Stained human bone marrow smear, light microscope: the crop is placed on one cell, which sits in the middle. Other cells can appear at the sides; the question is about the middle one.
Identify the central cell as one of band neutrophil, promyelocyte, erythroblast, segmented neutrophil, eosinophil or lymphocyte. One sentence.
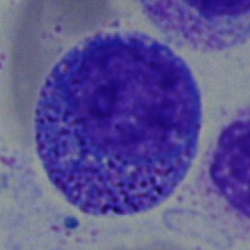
Among the cells in view, the one in the middle is a promyelocyte.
